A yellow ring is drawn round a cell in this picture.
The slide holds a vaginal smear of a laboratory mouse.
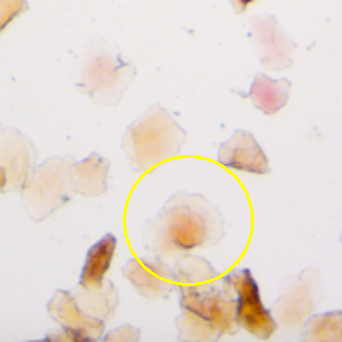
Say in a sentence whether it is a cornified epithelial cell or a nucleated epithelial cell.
The cell in the ring is a cornified epithelial cell.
